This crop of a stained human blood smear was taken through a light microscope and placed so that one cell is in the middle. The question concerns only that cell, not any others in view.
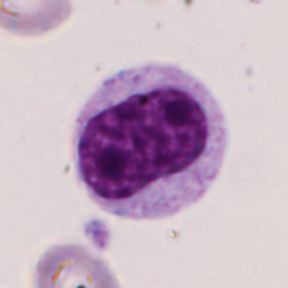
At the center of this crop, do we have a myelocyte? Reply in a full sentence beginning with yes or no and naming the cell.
No, the cell placed at the center is a metamyelocyte rather than a myelocyte.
